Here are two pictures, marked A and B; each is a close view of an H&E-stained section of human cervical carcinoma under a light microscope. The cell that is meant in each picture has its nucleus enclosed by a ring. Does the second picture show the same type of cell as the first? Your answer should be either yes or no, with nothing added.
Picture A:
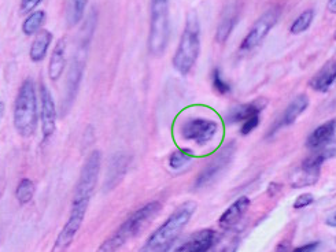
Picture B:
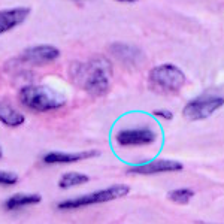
no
